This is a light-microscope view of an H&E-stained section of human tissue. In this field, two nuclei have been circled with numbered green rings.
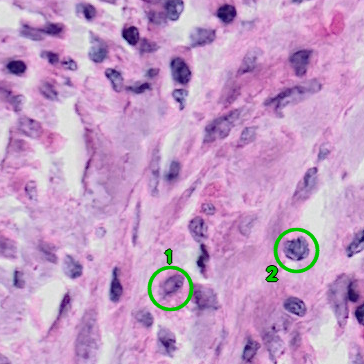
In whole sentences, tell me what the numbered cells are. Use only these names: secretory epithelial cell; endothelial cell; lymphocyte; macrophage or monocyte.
Cell 1 is a macrophage or monocyte and cell 2 is a lymphocyte.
